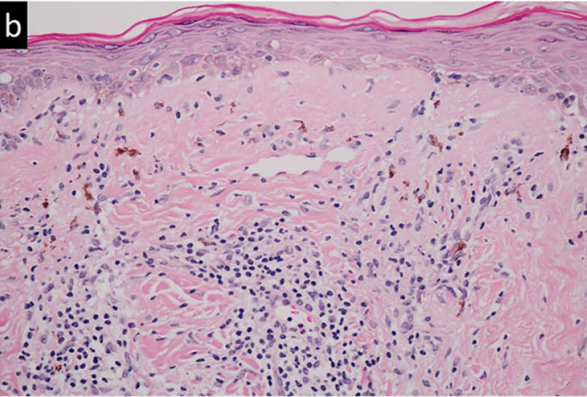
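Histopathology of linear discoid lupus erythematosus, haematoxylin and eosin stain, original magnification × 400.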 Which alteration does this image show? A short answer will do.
Epidermal atrophy.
